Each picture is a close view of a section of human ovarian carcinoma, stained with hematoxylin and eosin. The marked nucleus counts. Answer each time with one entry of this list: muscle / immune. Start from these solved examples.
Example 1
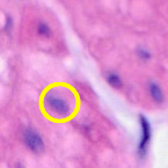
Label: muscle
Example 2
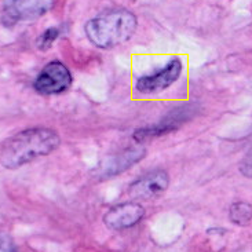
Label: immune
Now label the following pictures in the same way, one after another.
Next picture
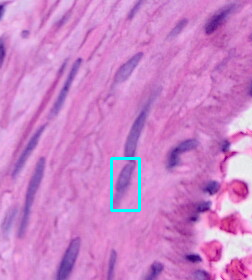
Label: muscle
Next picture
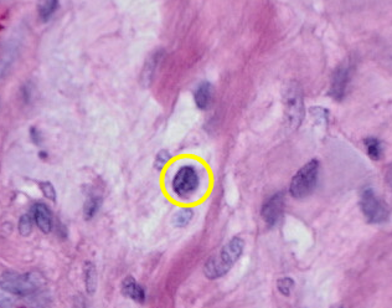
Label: immune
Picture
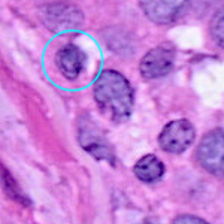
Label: immune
